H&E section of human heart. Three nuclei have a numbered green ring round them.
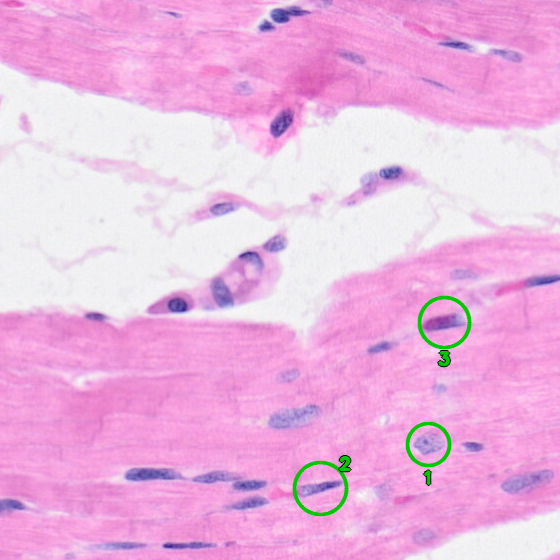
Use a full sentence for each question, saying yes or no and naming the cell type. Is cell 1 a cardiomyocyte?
Yes, it is a cardiomyocyte that number 1 identifies.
